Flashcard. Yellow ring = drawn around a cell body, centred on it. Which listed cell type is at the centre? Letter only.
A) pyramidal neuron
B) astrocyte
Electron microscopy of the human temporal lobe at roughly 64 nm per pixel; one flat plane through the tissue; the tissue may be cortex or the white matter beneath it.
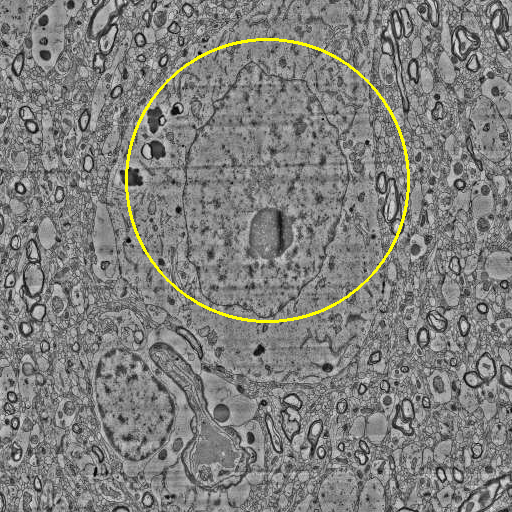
A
